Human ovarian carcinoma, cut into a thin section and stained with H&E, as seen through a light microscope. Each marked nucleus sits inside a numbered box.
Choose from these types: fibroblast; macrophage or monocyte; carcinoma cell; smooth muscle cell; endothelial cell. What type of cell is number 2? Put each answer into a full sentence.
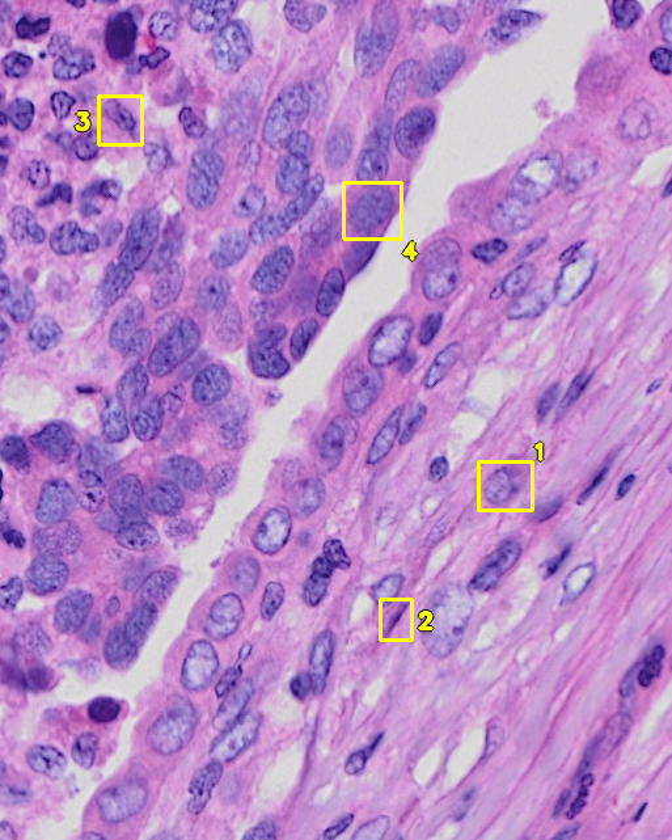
The cell referred to as 2 is a fibroblast.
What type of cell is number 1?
The numbered cell 1 is identified here as a fibroblast.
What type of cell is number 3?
The cell that bears the number 3 is a macrophage or monocyte.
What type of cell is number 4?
Here the cell numbered 4 is a carcinoma cell.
